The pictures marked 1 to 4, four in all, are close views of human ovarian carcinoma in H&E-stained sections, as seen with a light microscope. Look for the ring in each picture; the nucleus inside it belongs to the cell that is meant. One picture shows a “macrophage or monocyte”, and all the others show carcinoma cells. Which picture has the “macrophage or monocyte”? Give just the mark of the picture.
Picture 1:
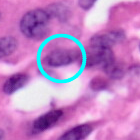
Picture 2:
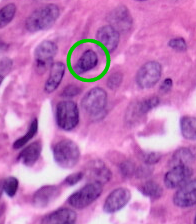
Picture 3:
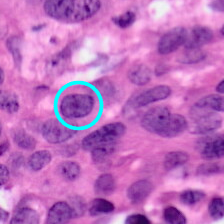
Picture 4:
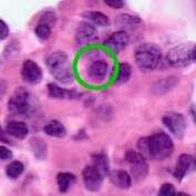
2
